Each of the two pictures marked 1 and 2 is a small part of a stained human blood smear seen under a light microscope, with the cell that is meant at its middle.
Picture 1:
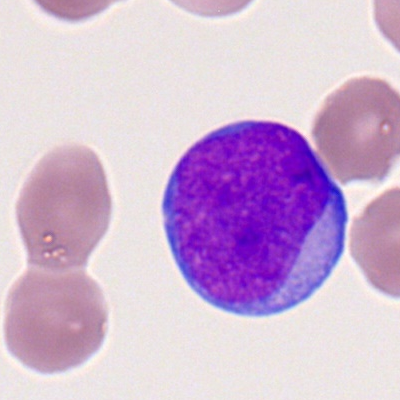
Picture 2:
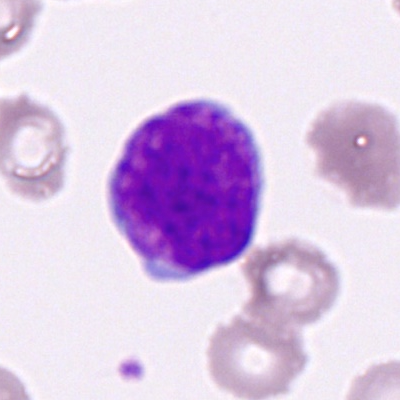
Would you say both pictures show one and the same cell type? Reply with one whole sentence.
Yes, both cells are myeloblasts.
